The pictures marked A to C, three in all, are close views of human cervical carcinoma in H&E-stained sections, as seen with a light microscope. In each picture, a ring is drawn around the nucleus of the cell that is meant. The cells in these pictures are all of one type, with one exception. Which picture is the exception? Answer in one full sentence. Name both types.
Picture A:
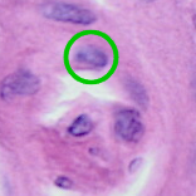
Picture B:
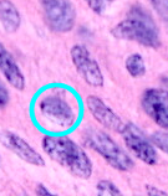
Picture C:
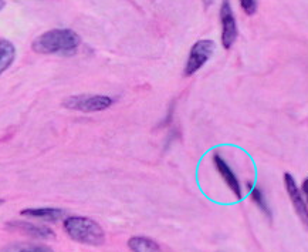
Picture C differs, because its cell is a fibroblast and the rest are squamous carcinoma cells.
